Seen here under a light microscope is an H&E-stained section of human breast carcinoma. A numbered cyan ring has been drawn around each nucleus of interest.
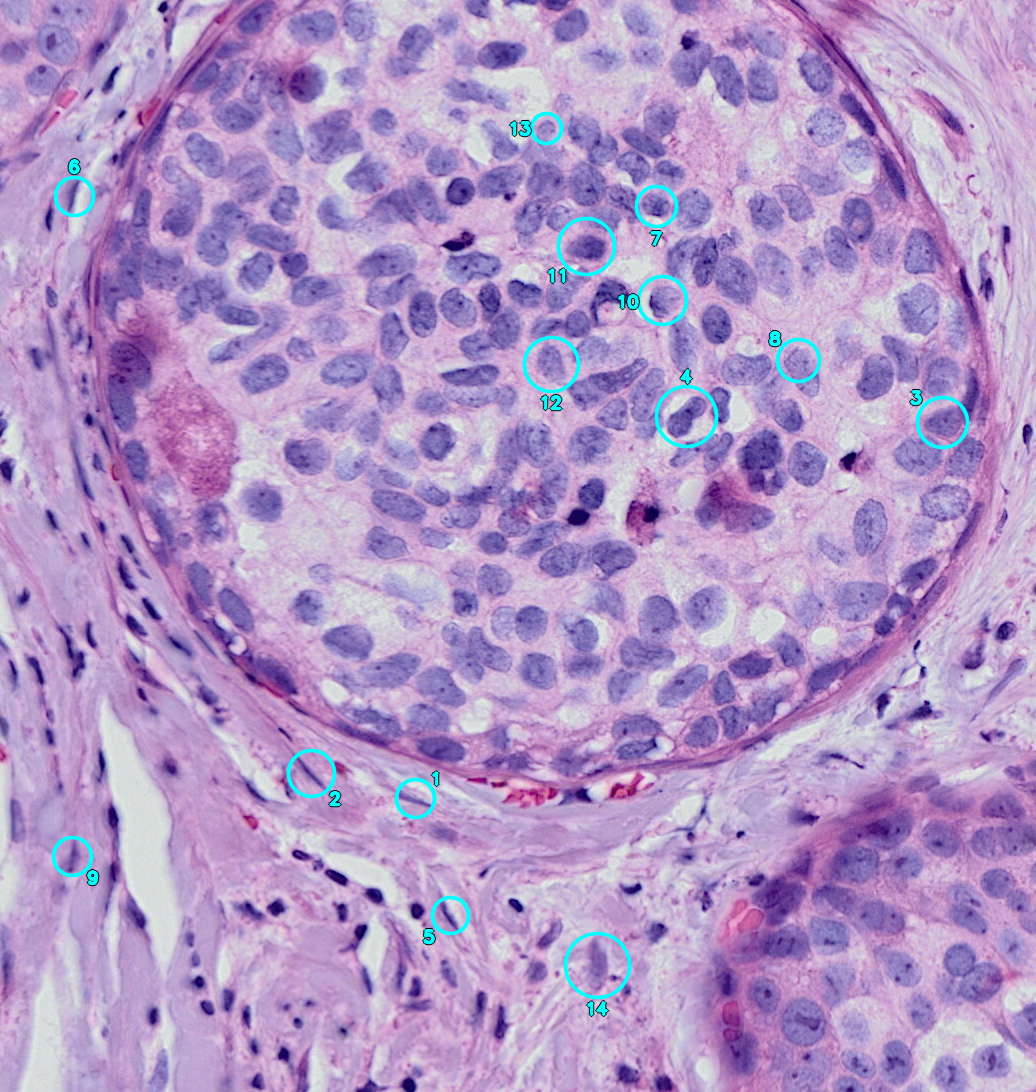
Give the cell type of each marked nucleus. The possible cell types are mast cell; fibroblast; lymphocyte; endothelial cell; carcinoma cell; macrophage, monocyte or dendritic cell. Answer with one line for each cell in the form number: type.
1: fibroblast
2: fibroblast
3: carcinoma cell
4: carcinoma cell
5: fibroblast
6: fibroblast
7: carcinoma cell
8: carcinoma cell
9: fibroblast
10: carcinoma cell
11: carcinoma cell
12: carcinoma cell
13: carcinoma cell
14: fibroblast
